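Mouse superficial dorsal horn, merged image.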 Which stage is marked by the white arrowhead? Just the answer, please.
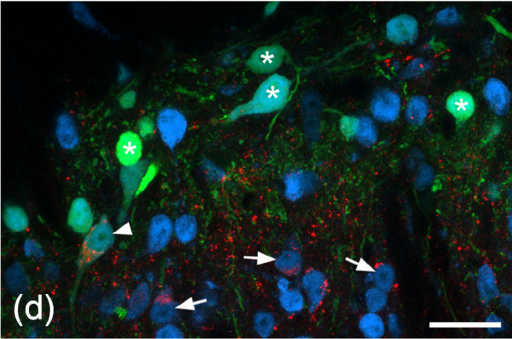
double‐labeled cell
